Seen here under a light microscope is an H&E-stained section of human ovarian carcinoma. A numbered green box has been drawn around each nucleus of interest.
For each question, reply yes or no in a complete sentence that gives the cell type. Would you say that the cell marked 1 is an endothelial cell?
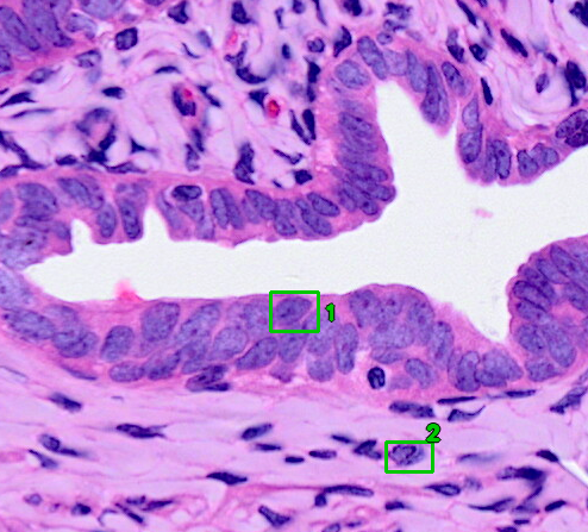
No, the cell given number 1 is a carcinoma cell, as opposed to an endothelial cell.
